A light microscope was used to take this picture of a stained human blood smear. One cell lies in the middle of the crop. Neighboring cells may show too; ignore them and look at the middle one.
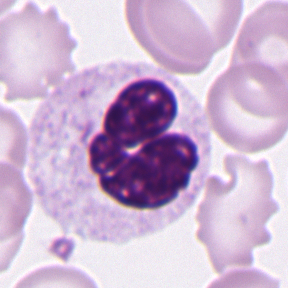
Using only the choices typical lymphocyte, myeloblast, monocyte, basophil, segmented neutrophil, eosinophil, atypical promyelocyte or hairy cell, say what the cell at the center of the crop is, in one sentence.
The central cell, amid any neighbouring cells, is a segmented neutrophil.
